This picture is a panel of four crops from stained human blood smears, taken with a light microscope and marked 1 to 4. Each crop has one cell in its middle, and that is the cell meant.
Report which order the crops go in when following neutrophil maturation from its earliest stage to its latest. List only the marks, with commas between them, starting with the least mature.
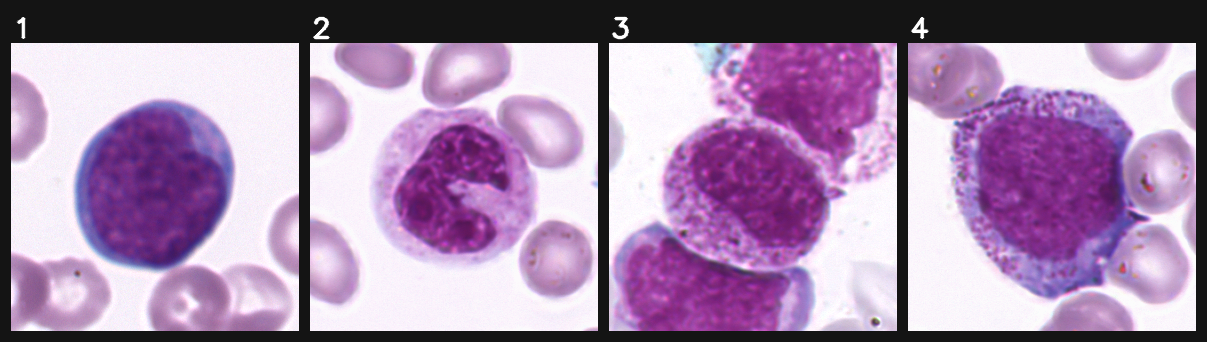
1, 4, 3, 2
